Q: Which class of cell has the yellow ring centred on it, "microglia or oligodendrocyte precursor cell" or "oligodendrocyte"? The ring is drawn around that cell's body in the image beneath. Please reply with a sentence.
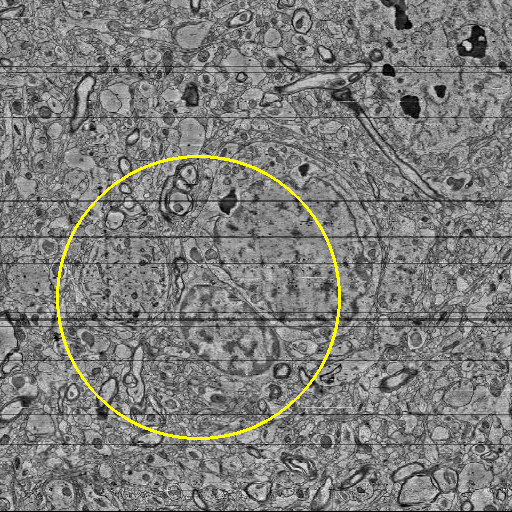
It is centred on an oligodendrocyte.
